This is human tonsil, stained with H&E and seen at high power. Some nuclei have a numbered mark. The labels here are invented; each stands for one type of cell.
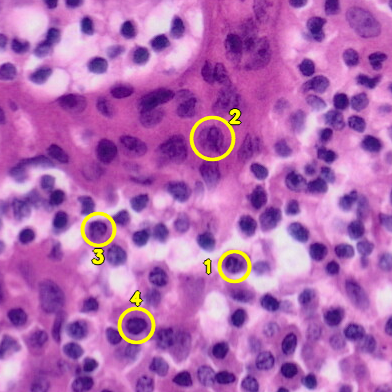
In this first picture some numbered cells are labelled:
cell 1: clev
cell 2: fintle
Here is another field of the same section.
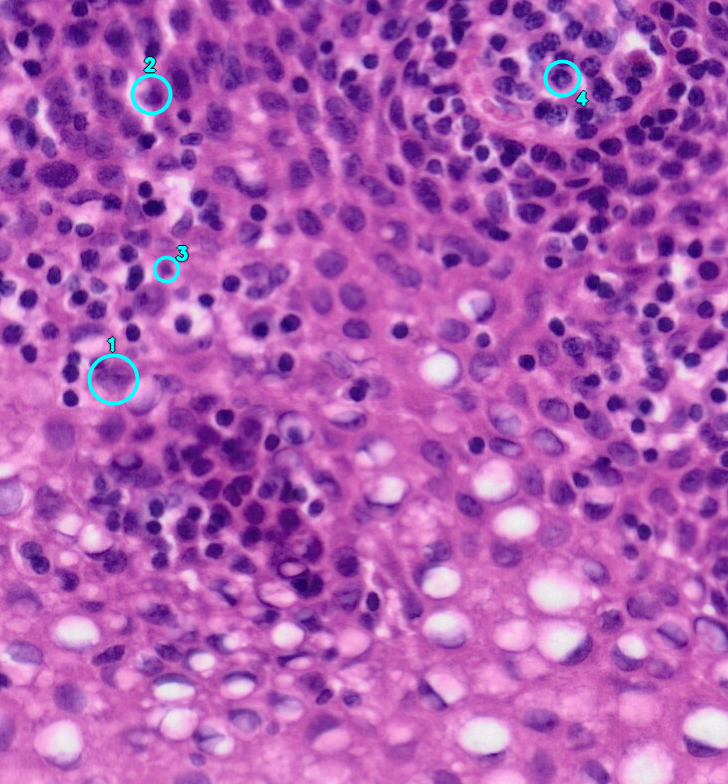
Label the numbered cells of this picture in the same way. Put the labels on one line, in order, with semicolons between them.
fintle; fintle; fintle; clev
